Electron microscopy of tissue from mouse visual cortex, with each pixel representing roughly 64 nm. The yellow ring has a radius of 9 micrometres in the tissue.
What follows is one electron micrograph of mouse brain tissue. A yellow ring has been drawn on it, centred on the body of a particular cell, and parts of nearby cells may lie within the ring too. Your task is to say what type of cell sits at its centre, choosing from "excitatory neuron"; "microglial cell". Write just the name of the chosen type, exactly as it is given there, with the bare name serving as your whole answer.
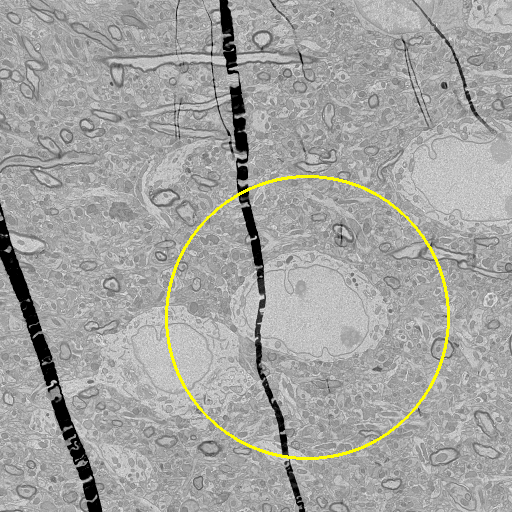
excitatory neuron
